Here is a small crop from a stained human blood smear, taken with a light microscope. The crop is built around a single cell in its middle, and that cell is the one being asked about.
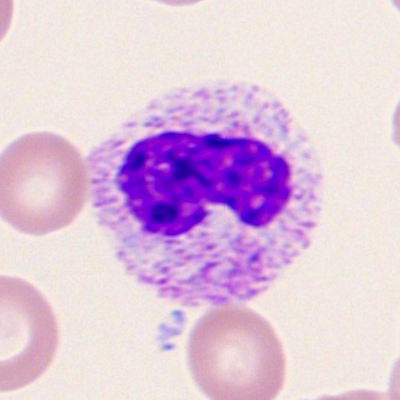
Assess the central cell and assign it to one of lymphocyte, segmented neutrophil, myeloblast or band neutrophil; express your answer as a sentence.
Standing at the centre of this crop is a band neutrophil.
